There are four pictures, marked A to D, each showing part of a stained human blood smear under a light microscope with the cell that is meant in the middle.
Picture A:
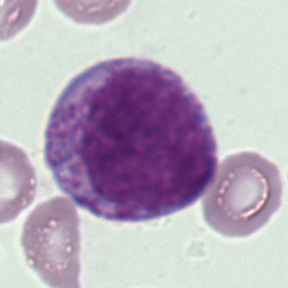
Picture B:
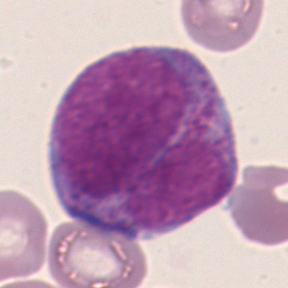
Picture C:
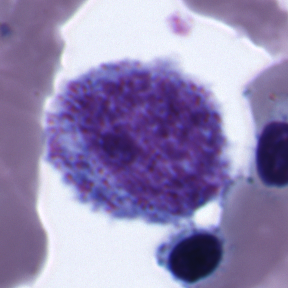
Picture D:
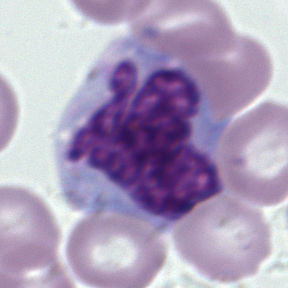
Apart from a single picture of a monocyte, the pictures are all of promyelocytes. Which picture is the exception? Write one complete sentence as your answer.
Picture D is the one that shows the monocyte.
